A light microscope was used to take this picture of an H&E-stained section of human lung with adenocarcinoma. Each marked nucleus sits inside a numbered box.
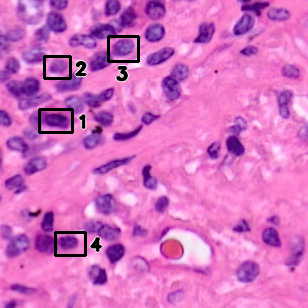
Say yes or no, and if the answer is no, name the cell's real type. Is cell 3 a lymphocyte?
Yes.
